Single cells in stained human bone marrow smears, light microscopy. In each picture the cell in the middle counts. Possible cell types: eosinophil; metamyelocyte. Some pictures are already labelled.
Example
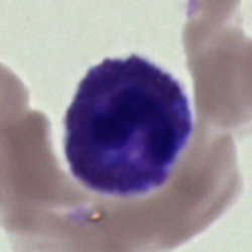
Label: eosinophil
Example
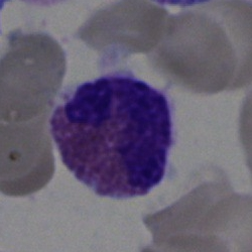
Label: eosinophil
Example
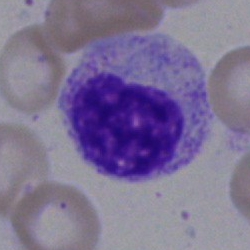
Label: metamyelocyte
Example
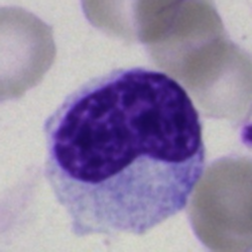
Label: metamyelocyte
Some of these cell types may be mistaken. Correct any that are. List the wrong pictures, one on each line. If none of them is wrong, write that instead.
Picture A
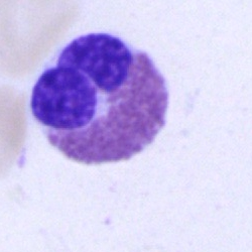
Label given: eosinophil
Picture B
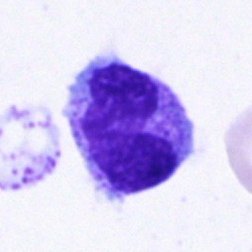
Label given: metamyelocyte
All labels are correct.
